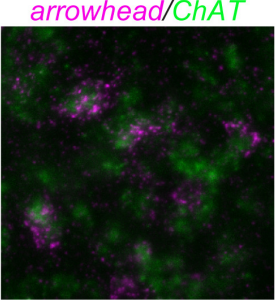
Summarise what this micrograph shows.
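Dense clusters of magenta dots ring several cell bodies. Some of these lie on or beside patches of diffuse green signal, while other green patches carry few magenta dots.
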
